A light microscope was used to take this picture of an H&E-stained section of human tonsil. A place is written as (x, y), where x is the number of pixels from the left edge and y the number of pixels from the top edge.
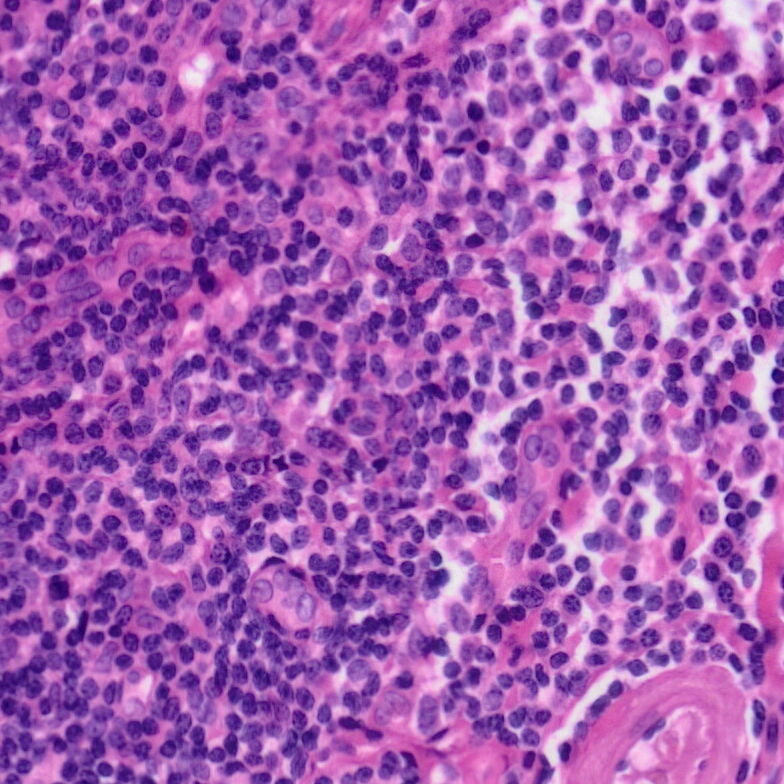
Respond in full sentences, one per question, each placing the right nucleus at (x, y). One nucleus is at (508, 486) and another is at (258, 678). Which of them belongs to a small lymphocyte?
The pair contains one nucleus of a small lymphocyte, namely the one at (258, 678).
